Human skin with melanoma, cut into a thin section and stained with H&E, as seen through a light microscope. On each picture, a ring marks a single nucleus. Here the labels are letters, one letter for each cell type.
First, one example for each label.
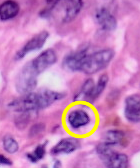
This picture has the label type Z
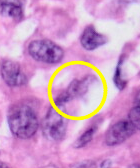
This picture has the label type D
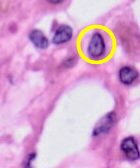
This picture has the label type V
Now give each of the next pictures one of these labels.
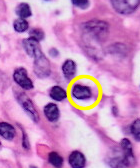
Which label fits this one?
type Z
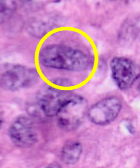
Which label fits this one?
type D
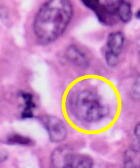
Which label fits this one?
type D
